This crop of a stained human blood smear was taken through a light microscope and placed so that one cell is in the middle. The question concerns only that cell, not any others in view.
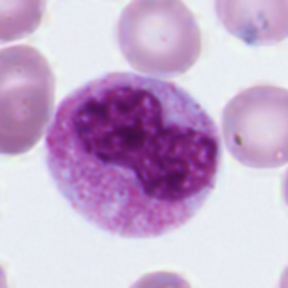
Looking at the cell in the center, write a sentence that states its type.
The cell centered in this field of view is a band neutrophil.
